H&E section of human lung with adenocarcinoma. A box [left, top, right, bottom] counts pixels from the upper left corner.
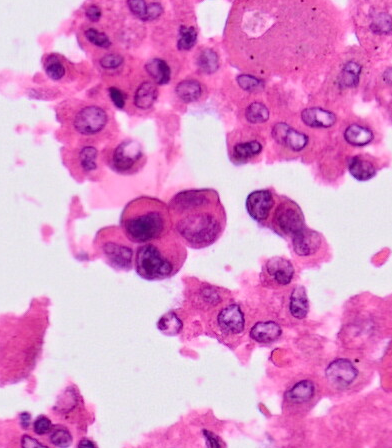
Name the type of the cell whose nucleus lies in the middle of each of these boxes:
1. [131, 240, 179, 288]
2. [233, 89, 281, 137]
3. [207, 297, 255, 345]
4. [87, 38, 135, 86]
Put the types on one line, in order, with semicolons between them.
carcinoma cell; macrophage or monocyte; macrophage or monocyte; macrophage or monocyte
